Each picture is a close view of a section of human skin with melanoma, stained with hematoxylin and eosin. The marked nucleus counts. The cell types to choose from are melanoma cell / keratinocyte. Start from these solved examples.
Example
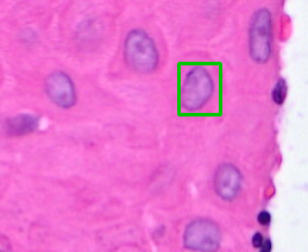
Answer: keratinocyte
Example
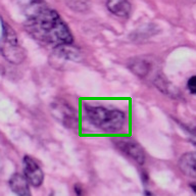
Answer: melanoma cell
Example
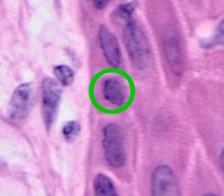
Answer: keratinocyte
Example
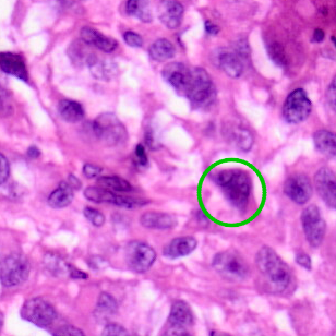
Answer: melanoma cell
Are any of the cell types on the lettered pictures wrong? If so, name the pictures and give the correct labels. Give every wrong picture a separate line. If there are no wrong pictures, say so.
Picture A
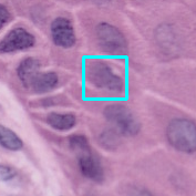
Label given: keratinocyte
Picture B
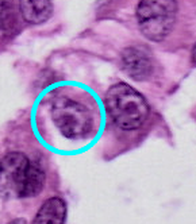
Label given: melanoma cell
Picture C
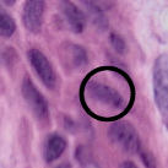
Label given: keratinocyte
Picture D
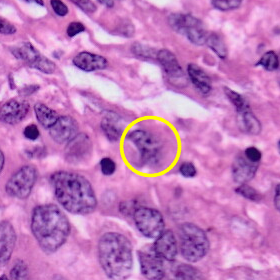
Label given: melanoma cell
All labels are correct.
